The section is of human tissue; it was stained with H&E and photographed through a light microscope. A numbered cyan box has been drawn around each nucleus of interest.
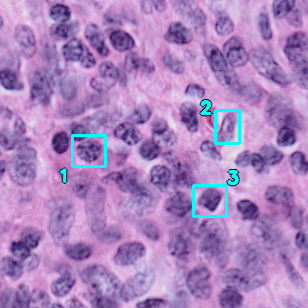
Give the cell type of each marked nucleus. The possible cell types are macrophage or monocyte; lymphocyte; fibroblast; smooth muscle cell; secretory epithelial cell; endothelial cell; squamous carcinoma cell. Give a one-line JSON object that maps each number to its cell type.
{"1": "lymphocyte", "2": "endothelial cell", "3": "lymphocyte"}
